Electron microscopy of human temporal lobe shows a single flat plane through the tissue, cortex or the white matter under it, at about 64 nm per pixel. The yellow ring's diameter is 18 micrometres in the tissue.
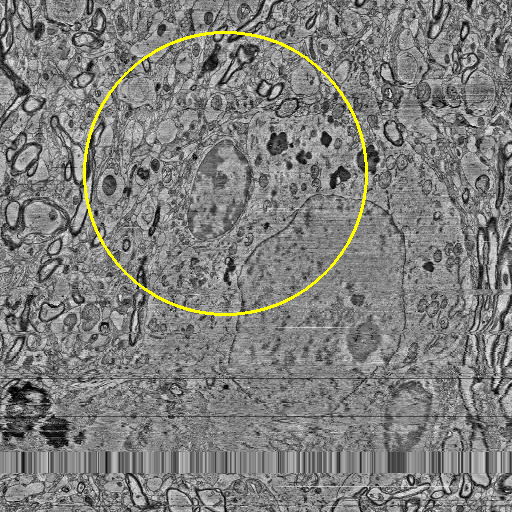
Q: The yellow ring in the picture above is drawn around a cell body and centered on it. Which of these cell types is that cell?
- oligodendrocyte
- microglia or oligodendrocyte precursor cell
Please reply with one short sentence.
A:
The cell body at the ring's center belongs to a microglial cell or oligodendrocyte precursor cell.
